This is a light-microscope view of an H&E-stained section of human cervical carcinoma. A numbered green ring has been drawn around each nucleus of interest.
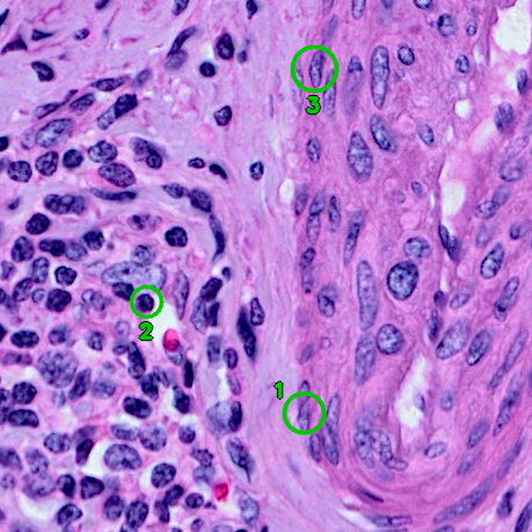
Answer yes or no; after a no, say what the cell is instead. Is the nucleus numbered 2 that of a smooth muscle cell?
No, it is a lymphocyte.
